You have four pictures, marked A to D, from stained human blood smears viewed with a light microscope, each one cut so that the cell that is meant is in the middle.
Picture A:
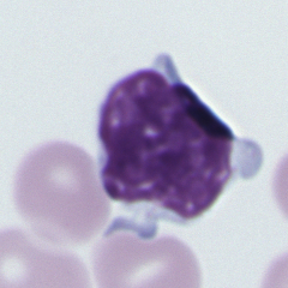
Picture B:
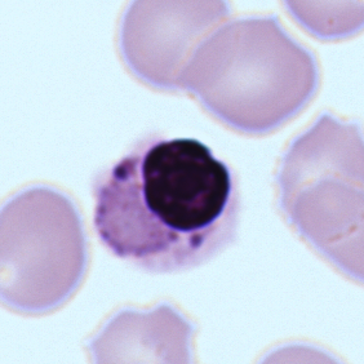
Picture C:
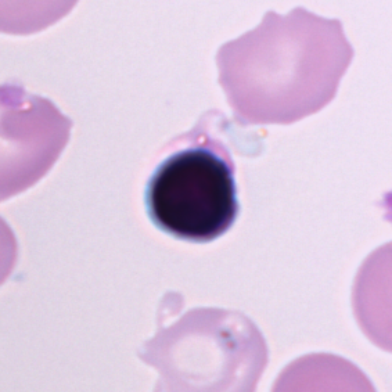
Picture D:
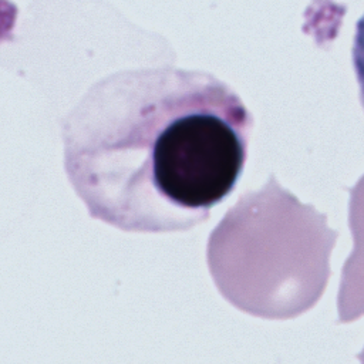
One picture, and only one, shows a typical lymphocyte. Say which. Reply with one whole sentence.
The cell in picture A is the typical lymphocyte.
